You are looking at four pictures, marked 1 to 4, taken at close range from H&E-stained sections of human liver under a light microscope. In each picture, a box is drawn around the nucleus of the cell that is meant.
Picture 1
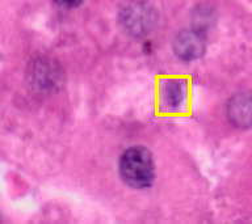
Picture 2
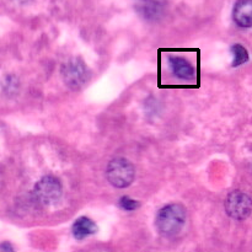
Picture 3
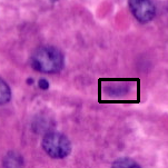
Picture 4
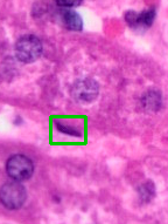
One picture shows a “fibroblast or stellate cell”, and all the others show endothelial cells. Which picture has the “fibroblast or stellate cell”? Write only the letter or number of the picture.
2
